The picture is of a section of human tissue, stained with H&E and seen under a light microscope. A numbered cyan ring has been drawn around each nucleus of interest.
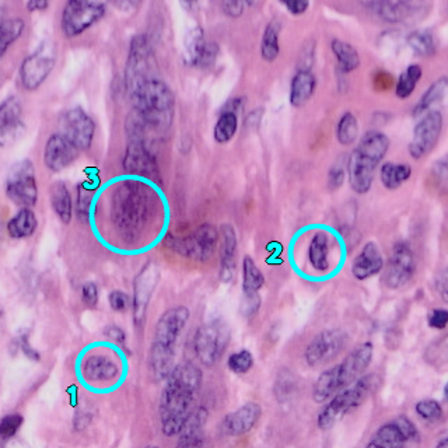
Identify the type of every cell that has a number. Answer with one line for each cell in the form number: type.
1: macrophage or monocyte
2: lymphocyte
3: melanoma cell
